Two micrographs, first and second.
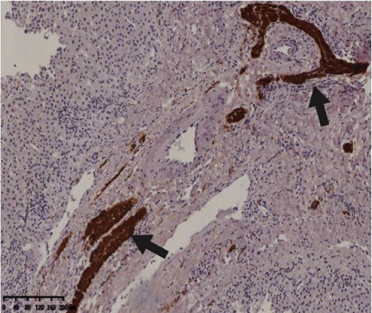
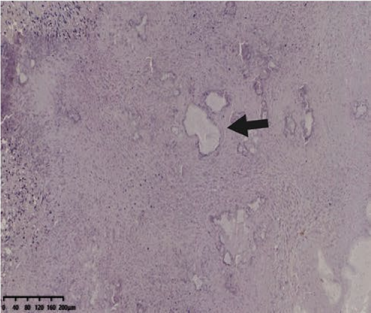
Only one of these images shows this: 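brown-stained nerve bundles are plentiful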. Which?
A: the first image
